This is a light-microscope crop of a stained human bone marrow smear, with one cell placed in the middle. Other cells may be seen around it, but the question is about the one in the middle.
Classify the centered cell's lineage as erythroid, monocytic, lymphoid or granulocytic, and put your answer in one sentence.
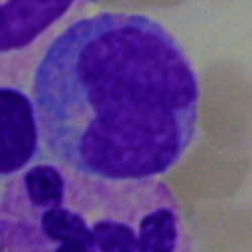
The cell in the middle is allocated to the monocytic lineage.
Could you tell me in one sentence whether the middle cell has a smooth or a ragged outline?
The border of this cell runs smooth and free of any projections.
